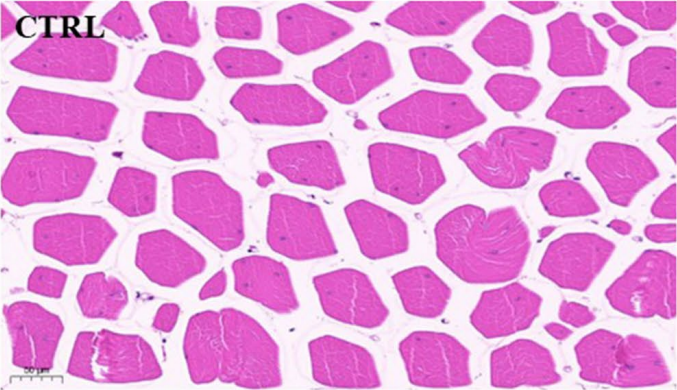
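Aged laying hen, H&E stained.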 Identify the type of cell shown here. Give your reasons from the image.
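Large polygonal pink-staining profiles cut in cross section.
Muscle fiber.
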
